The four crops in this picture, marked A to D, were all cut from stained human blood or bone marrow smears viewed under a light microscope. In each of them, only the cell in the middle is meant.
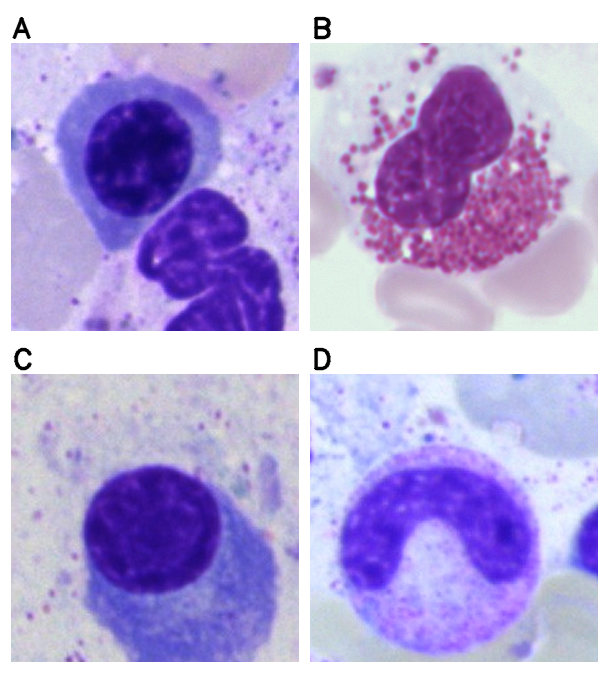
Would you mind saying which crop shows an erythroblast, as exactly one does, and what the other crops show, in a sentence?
The cell of interest in crop A is an erythroblast, while crop B is an eosinophil, crop C is a plasma cell and crop D is a band neutrophil.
